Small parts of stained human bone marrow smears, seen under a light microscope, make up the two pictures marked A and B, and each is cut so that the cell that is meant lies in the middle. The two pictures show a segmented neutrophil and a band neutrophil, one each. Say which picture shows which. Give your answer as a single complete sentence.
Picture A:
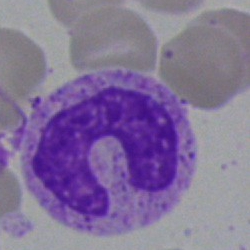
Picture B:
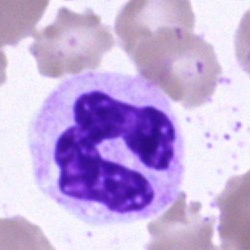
It is picture A that shows a band neutrophil, and picture B that shows a segmented neutrophil.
